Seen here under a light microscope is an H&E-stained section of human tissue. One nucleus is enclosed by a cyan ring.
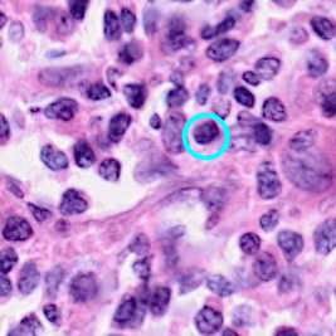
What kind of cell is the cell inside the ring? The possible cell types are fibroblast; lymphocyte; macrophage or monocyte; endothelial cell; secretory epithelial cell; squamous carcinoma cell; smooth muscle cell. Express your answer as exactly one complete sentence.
As to its cell type, the cell inside the ring is a lymphocyte.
